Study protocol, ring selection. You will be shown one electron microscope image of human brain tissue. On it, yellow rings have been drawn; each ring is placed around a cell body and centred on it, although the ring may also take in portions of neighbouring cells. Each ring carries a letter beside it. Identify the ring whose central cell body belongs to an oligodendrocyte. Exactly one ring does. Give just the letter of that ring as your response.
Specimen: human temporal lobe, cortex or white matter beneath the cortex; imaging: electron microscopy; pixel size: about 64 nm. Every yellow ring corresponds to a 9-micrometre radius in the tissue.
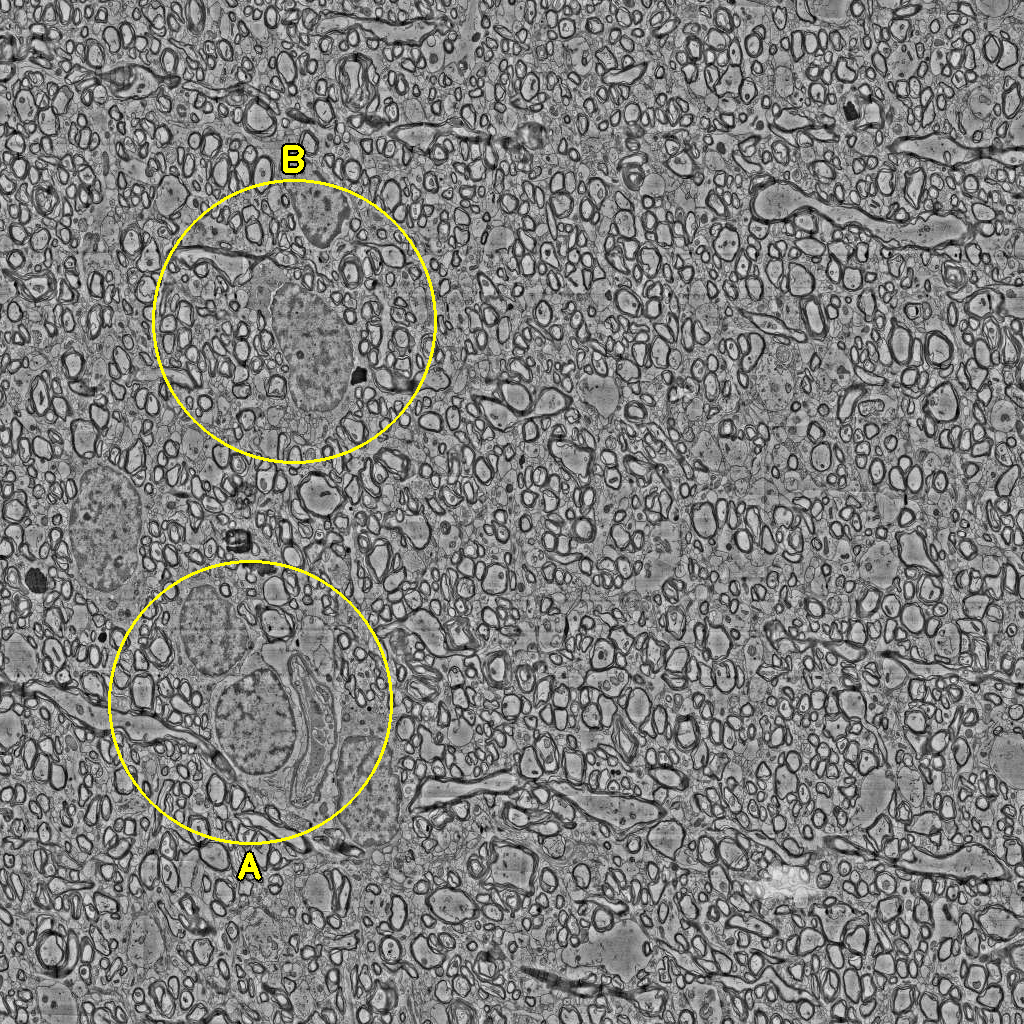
B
